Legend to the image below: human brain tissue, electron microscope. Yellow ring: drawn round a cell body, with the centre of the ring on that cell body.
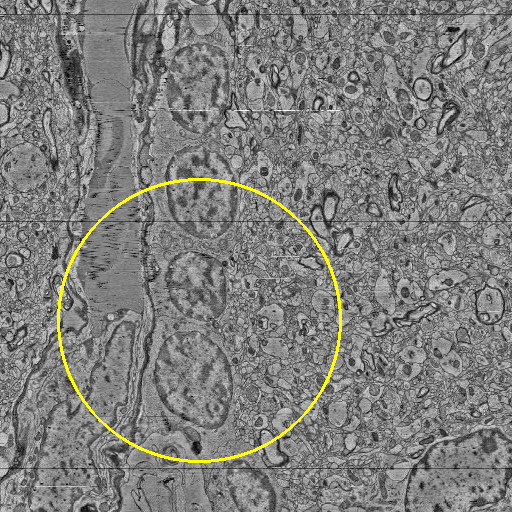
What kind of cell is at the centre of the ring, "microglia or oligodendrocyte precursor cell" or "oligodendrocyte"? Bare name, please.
oligodendrocyte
